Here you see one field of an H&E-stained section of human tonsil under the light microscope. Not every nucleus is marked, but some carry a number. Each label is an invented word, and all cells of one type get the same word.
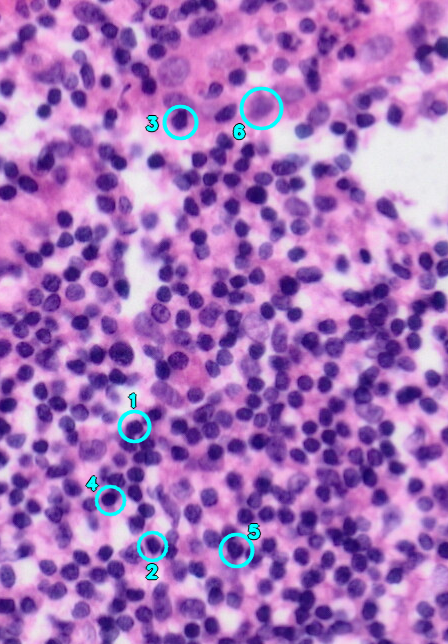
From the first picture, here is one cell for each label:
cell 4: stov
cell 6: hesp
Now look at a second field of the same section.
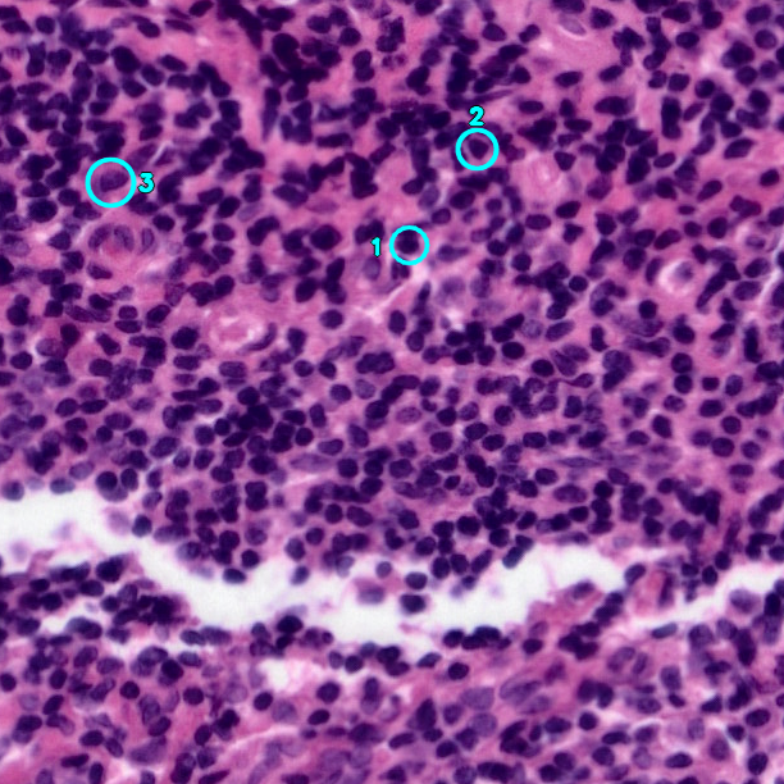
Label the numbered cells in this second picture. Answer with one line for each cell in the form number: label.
1: stov
2: stov
3: hesp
